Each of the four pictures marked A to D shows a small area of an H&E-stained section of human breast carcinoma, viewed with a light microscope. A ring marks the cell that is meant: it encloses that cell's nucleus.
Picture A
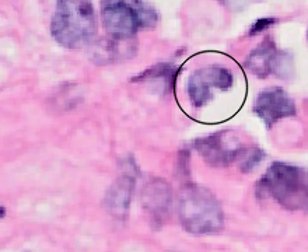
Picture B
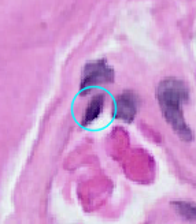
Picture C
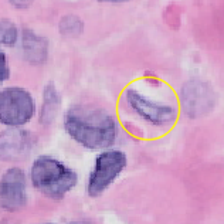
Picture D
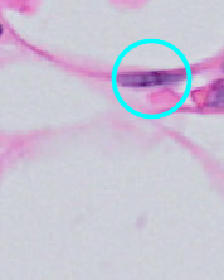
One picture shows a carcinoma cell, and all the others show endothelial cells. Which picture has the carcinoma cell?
A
